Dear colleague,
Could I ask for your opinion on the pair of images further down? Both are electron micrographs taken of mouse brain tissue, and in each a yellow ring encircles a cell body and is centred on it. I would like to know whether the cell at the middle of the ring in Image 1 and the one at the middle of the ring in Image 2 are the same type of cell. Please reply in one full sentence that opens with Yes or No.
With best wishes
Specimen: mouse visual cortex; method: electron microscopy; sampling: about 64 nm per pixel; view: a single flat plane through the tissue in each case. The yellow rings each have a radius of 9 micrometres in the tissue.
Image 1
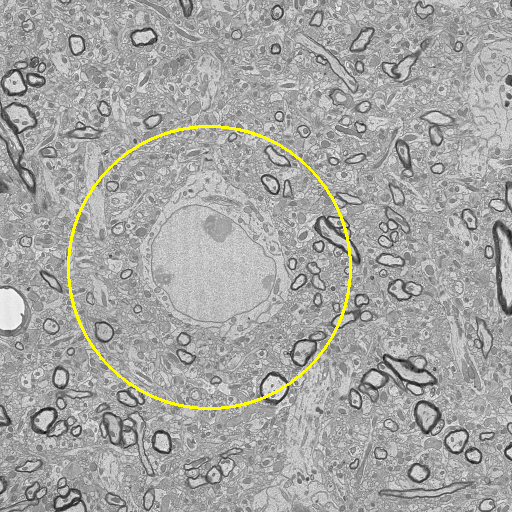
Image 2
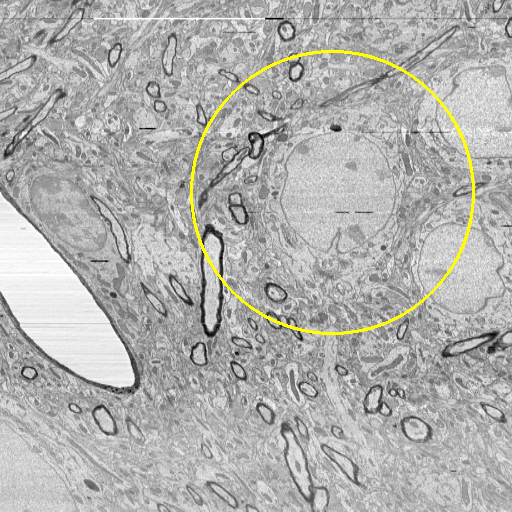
Yes, the cells at the ring centres in Image 1 and Image 2 are of one type.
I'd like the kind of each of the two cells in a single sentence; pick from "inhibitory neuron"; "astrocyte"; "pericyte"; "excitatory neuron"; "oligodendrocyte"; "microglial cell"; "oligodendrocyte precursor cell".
Each of the two rings surrounds an excitatory neuron.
